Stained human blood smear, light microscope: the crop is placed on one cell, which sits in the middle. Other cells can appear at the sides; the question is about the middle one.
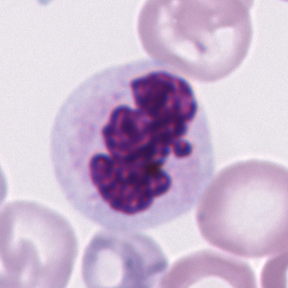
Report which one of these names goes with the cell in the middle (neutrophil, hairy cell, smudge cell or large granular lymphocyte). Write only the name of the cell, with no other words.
neutrophil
